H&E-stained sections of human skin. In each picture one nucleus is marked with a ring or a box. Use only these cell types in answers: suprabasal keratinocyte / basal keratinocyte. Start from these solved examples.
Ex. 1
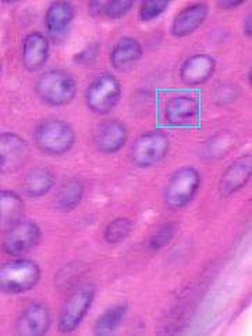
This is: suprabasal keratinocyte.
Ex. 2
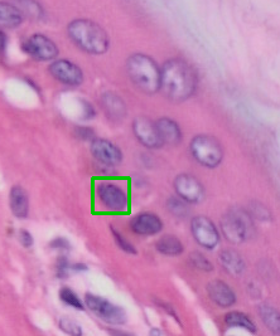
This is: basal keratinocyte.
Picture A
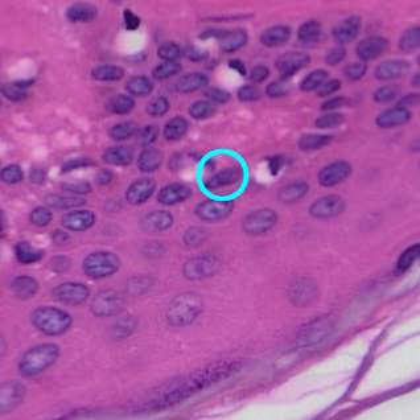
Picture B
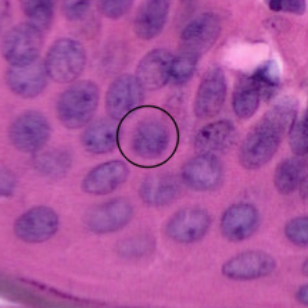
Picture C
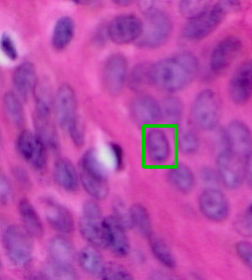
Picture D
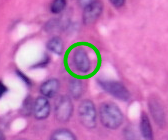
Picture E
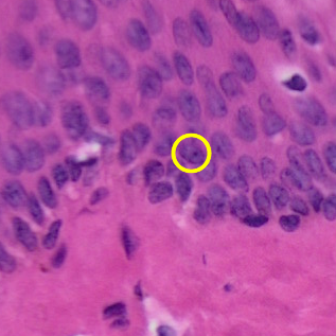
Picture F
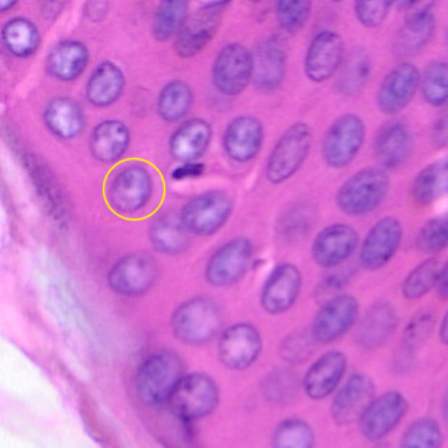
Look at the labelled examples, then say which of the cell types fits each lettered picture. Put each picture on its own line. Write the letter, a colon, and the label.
A: basal keratinocyte.
B: suprabasal keratinocyte.
C: basal keratinocyte.
D: basal keratinocyte.
E: basal keratinocyte.
F: suprabasal keratinocyte.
